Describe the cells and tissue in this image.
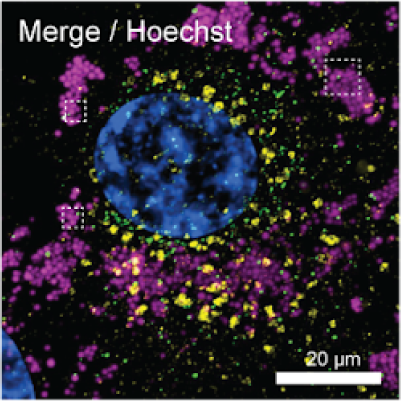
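A cultured cell is seen with a large oval blue nucleus near its centre. Dashed squares mark small magenta droplet clusters at the periphery.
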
